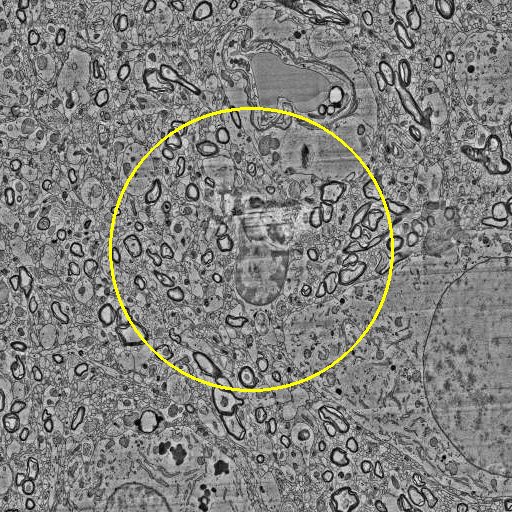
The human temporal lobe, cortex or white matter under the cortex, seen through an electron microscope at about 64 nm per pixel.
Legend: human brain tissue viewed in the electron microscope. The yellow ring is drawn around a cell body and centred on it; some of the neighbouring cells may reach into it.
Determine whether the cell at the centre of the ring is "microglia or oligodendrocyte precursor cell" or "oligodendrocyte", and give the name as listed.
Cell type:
microglia or oligodendrocyte precursor cell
